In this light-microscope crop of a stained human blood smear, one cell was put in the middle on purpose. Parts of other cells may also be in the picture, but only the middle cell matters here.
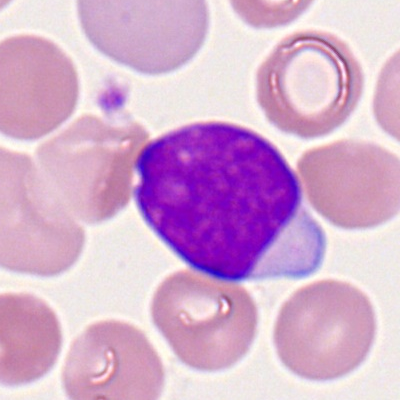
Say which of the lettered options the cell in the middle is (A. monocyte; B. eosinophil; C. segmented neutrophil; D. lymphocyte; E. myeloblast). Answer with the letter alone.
E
